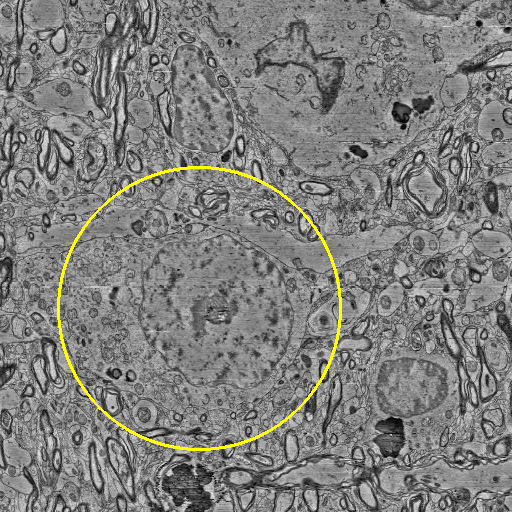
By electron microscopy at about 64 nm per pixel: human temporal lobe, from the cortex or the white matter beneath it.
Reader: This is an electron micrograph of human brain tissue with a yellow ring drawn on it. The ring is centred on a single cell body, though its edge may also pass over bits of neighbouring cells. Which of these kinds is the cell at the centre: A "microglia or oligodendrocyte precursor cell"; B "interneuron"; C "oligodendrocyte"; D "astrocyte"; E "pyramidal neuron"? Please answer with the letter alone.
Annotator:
B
